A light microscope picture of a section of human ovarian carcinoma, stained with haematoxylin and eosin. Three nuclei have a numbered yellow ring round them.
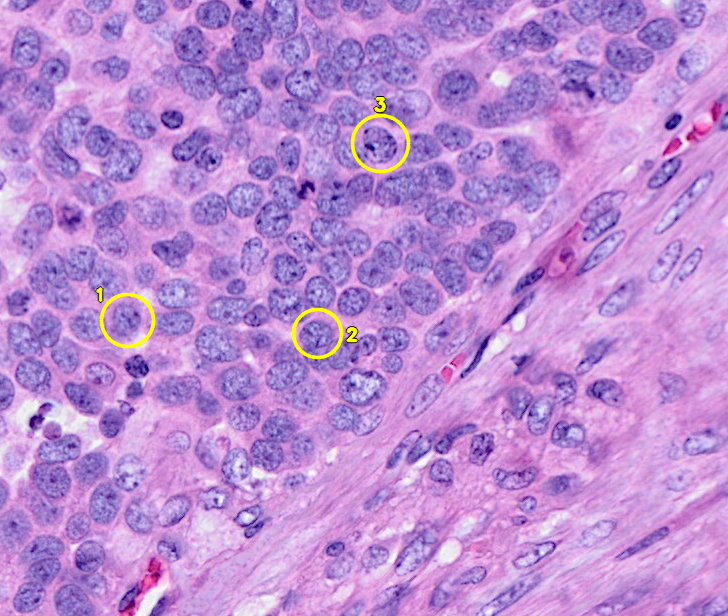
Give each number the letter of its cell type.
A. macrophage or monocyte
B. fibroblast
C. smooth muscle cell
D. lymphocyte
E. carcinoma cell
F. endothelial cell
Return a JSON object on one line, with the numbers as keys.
{"1": "E", "2": "E", "3": "A"}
